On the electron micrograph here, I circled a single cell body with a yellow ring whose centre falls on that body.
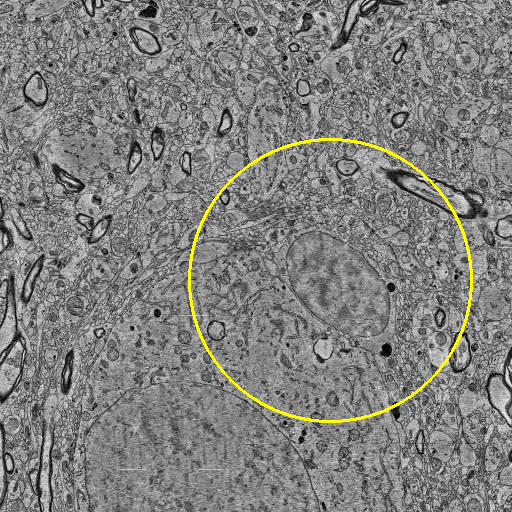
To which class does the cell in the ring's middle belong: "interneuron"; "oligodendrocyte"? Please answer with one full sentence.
In this picture, the cell body circled at the ring's centre belongs to an oligodendrocyte.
